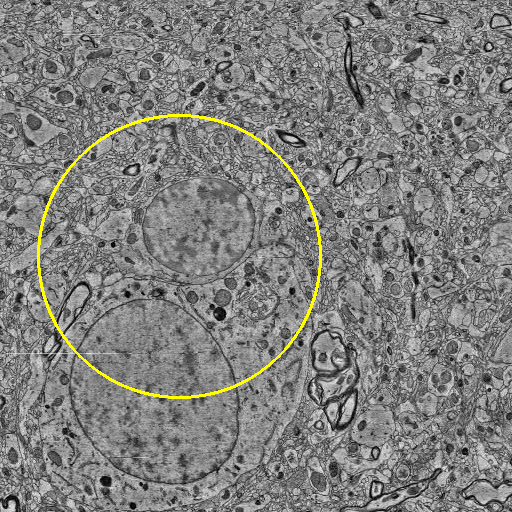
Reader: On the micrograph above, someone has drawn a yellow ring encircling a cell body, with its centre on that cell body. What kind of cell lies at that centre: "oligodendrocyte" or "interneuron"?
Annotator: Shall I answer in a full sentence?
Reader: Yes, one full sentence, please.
Here an oligodendrocyte sits at the centre of the yellow ring drawn on the micrograph.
